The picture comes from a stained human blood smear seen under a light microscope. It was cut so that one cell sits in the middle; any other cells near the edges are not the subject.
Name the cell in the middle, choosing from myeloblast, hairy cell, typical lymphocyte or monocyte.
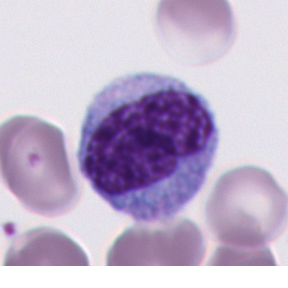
monocyte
